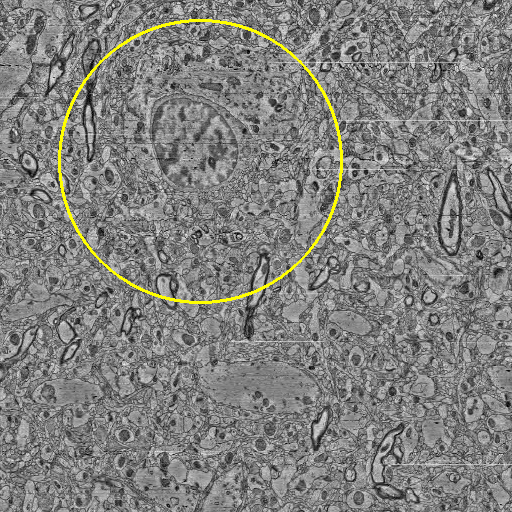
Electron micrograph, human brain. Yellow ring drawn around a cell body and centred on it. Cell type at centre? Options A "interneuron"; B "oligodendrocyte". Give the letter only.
B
